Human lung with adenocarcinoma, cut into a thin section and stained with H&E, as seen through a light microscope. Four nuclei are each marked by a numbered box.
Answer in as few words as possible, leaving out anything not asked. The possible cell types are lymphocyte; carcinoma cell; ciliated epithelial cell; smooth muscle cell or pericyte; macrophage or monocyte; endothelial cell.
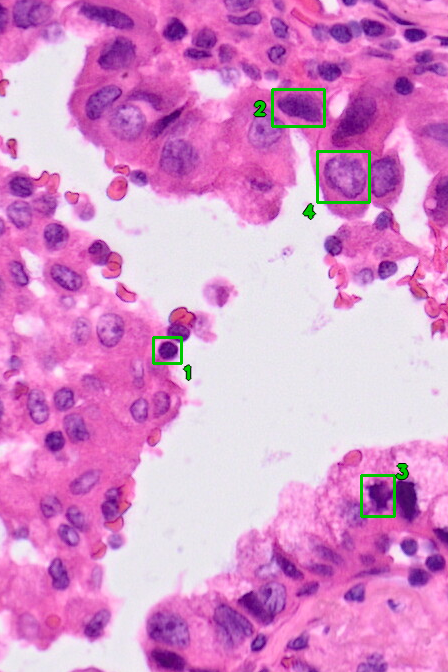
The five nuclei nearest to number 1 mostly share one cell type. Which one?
macrophage or monocyte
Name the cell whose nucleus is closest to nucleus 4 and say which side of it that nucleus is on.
a carcinoma cell; to the right of nucleus 4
